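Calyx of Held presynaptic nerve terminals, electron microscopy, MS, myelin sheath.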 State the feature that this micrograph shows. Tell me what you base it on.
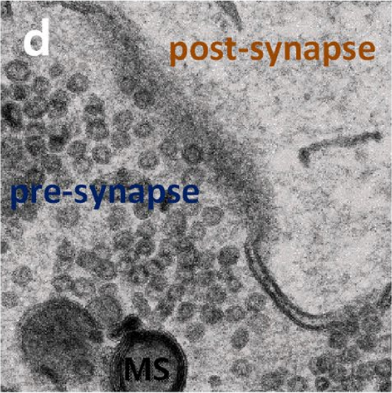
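A long stretch of the contact membrane is thickened and electron-dense. Small round vesicles cluster against this dense stretch on the presynaptic side.
Active zones.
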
